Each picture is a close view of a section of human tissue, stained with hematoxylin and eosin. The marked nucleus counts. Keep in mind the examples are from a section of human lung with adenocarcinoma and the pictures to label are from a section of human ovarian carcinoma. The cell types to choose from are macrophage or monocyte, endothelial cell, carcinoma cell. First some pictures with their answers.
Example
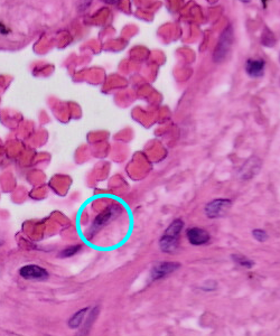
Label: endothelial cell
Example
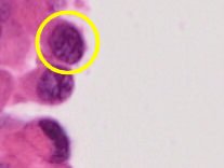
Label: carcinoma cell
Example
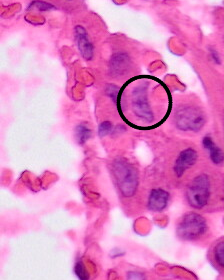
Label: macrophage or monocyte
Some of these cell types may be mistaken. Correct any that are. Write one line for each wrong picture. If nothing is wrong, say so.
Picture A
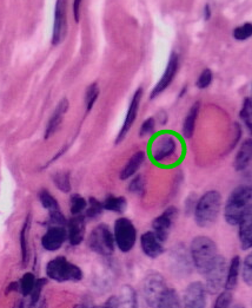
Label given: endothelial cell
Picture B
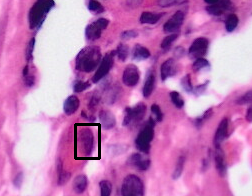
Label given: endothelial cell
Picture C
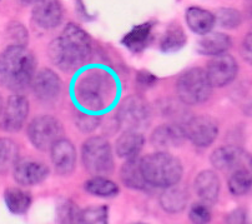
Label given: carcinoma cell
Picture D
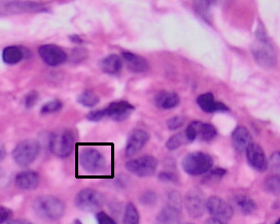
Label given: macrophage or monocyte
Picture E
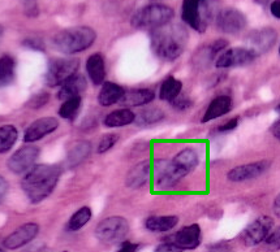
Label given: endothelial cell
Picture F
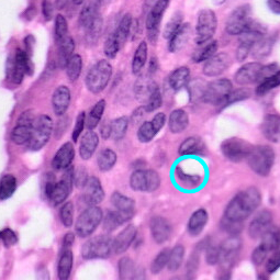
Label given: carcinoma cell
F should be endothelial cell, not carcinoma cell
